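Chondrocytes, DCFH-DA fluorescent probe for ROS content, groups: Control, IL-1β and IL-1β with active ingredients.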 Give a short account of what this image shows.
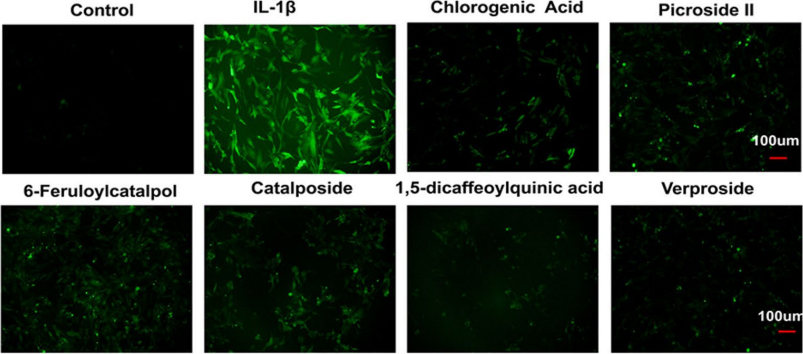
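In one field the whole view is filled with brightly green, elongated, spindle-shaped cells. The other fields show weaker, scattered green cells, and one field is almost dark.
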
